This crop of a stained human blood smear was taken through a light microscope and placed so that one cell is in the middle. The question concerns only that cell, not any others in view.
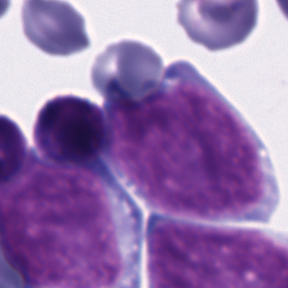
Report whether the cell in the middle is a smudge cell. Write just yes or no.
no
